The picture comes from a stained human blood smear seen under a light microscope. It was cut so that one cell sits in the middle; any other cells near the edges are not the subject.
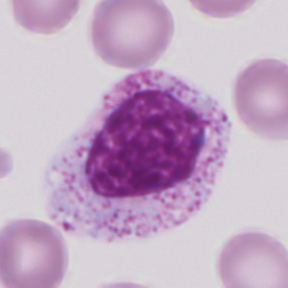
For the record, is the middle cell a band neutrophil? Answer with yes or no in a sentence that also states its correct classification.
No, the cell centered in the crop is a metamyelocyte, not a band neutrophil.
